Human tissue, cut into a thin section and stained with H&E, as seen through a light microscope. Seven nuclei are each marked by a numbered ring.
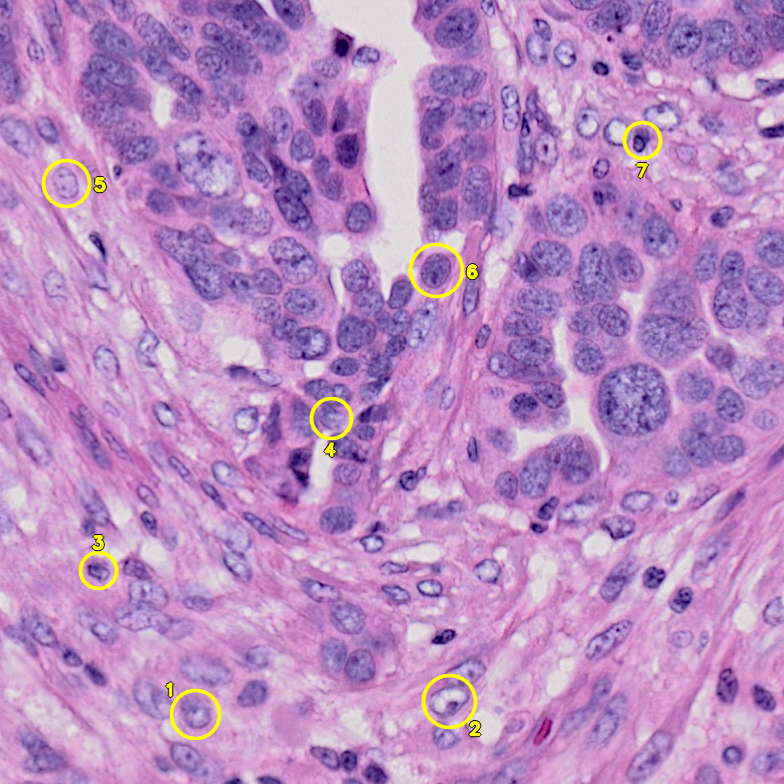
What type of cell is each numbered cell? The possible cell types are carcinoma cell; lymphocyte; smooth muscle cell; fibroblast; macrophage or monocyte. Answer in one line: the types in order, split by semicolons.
fibroblast; fibroblast; macrophage or monocyte; carcinoma cell; fibroblast; carcinoma cell; lymphocyte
